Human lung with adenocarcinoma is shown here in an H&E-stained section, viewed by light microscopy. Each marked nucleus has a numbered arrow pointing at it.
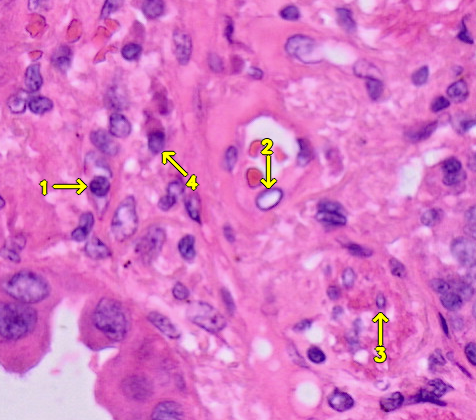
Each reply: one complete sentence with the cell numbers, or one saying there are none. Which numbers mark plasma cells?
Only the cell with number 4 is a plasma cell.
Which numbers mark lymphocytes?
The nucleus labelled 1 alone belongs to a lymphocyte; the other marked nuclei do not.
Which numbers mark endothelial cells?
Among the cells marked with numbers, the only one that is an endothelial cell is number 2.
